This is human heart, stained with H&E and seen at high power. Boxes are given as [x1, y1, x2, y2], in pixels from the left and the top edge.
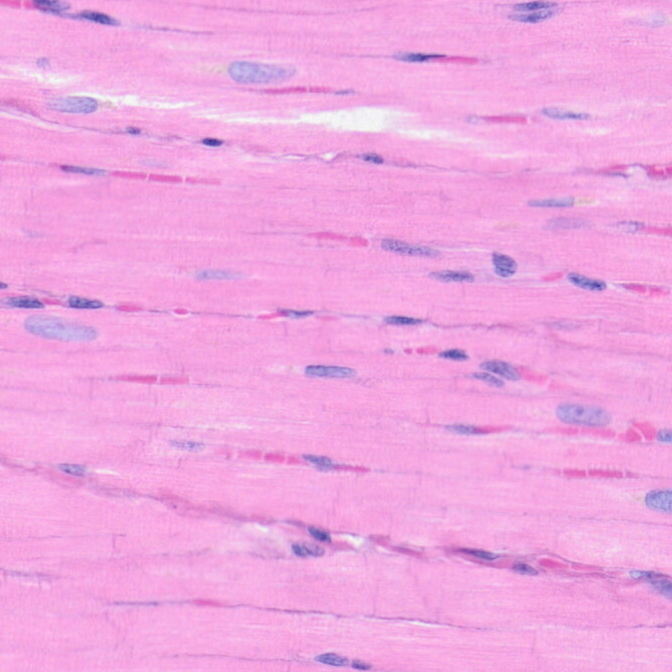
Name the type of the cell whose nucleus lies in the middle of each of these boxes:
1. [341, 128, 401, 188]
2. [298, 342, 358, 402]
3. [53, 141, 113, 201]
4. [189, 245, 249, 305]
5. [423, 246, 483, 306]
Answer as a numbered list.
1. endothelial cell
2. cardiomyocyte
3. endothelial cell
4. cardiomyocyte
5. endothelial cell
